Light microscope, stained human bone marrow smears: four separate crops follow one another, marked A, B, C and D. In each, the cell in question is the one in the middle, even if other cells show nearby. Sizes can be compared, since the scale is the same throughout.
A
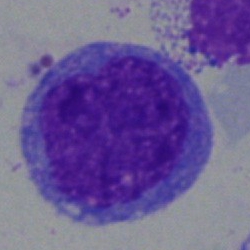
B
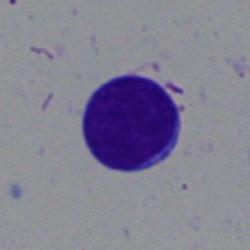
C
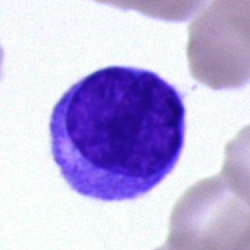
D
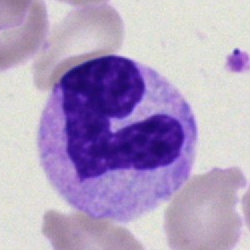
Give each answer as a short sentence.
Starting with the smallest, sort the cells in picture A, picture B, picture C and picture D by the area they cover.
Smallest first: B, C, D, A.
